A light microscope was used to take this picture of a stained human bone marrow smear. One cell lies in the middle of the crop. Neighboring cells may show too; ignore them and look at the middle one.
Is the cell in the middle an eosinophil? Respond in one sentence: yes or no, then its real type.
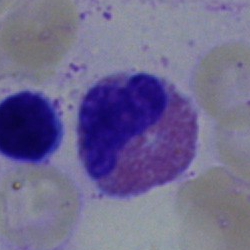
Yes, it is an eosinophil that lies in the middle.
